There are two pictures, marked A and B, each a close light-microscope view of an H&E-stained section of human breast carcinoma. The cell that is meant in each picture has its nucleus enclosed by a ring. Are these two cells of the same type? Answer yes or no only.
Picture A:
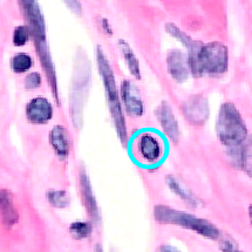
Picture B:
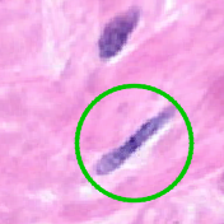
no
